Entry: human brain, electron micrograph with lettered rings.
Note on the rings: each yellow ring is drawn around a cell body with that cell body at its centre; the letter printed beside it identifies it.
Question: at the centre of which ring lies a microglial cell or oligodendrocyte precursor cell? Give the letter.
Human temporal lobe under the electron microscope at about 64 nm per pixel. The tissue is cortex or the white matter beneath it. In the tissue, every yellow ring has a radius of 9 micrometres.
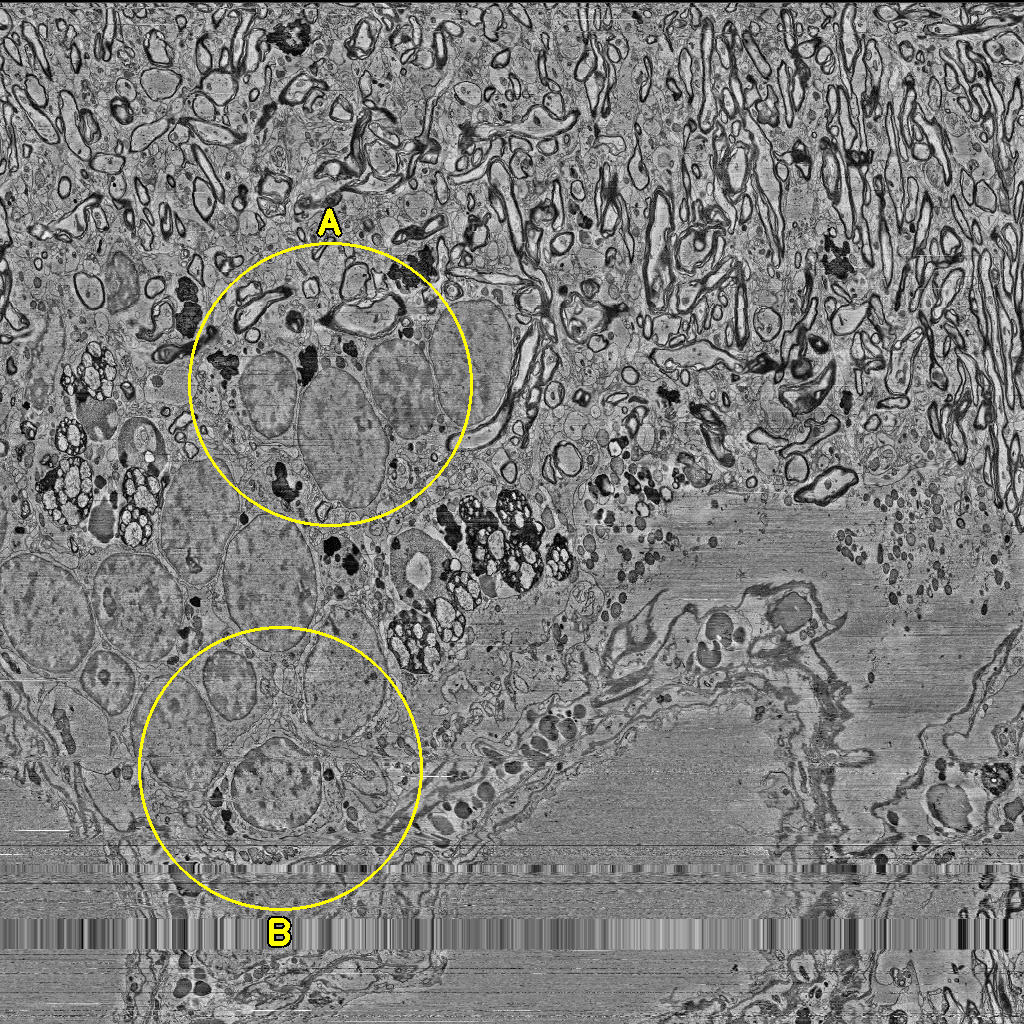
B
